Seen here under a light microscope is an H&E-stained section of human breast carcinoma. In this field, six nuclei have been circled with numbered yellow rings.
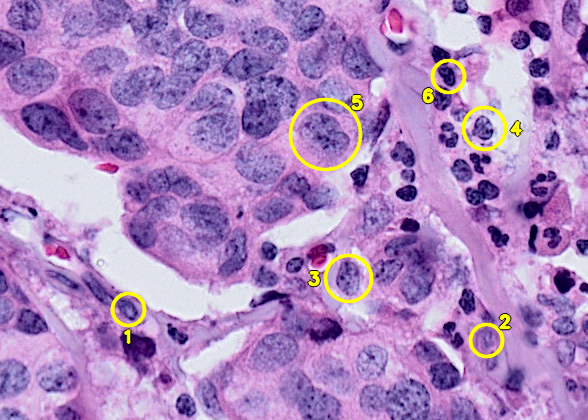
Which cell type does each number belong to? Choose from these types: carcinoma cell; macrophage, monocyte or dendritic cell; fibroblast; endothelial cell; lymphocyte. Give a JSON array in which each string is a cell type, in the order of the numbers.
["endothelial cell", "endothelial cell", "macrophage, monocyte or dendritic cell", "lymphocyte", "carcinoma cell", "lymphocyte"]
